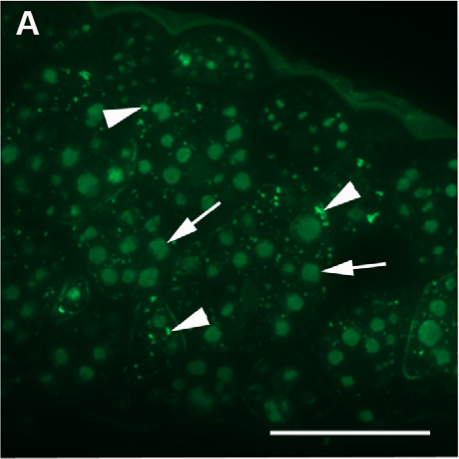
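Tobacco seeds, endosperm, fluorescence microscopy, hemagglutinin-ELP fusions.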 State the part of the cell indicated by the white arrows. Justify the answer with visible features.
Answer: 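The white arrows point to large round bodies filled evenly with green. These round bodies are scattered through the cells, many per cell. They are much larger than the small bright green dots nearby. That points to this answer: protein storage vacuole.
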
